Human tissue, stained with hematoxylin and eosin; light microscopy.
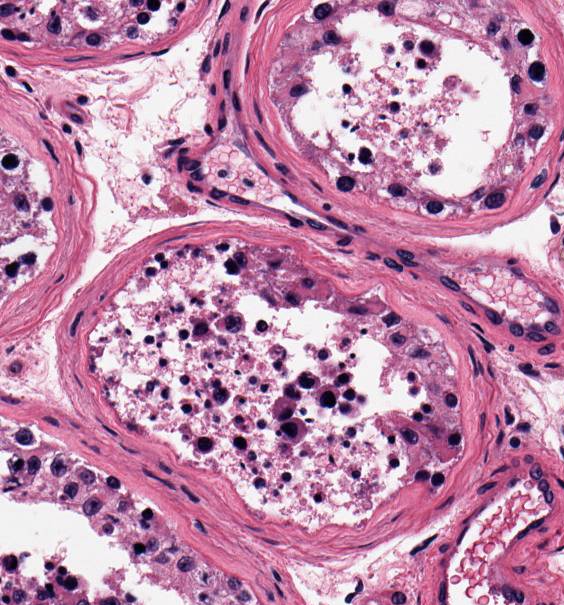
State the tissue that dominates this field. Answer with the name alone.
seminiferous tubule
